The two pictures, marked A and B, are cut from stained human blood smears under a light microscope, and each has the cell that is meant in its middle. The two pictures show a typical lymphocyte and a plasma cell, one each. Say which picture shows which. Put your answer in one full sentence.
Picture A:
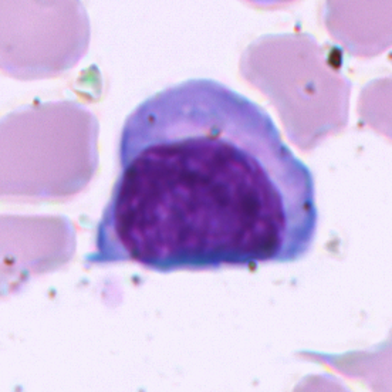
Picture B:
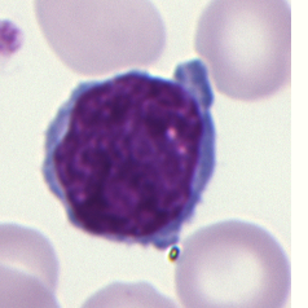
In picture A the cell is a plasma cell; in picture B, a typical lymphocyte.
